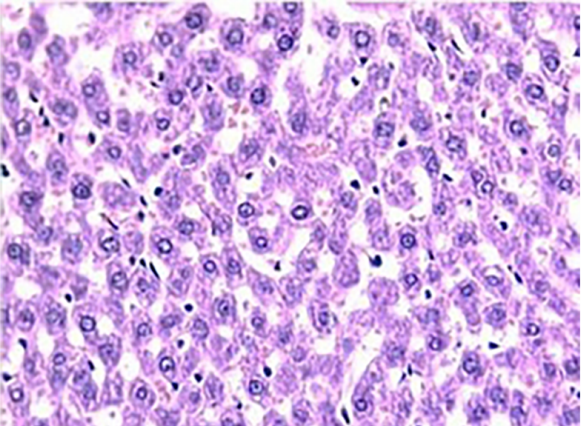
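Liver tissue made of polygonal hepatocytes in cords separated by pale sinusoidal spaces. The hepatocytes have round nuclei with visible nucleoli and a pink cytoplasm. Small, dark, elongated nuclei of sinusoidal lining cells lie between the cords. No clusters of inflammatory cells are seen.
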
